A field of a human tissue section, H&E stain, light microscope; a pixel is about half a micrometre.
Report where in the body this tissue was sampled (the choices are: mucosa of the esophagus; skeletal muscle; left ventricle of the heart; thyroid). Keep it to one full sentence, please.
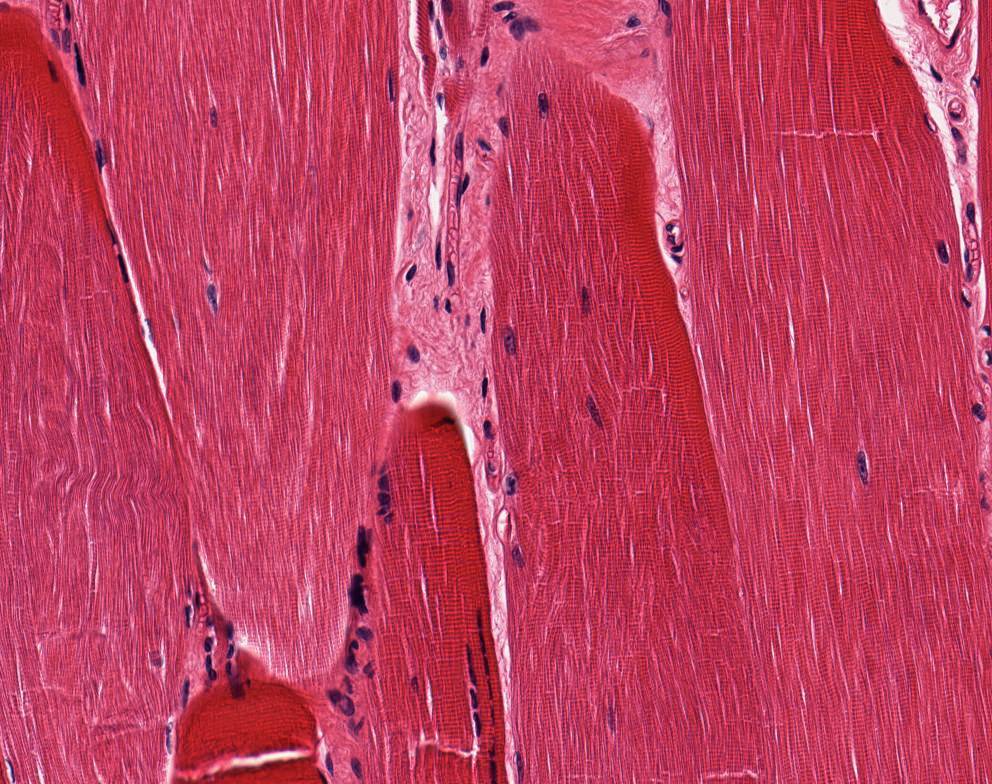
Sampled from the skeletal muscle is the tissue in this section.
